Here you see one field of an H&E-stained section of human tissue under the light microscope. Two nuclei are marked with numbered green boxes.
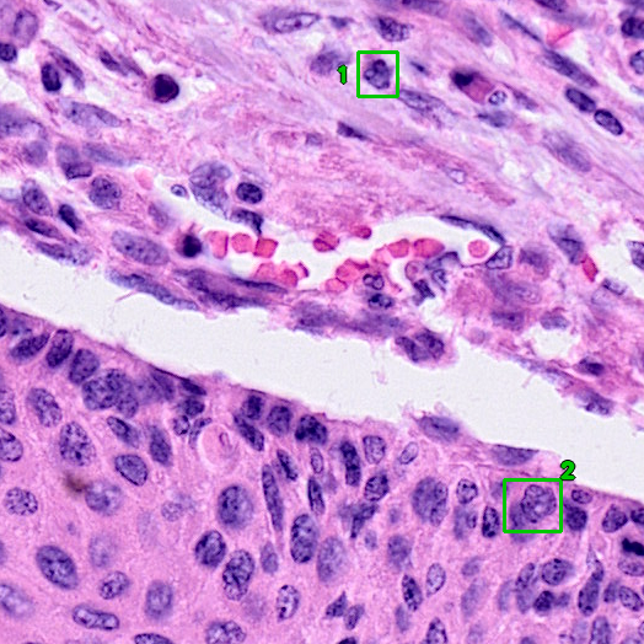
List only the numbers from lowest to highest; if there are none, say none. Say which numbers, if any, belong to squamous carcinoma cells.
2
